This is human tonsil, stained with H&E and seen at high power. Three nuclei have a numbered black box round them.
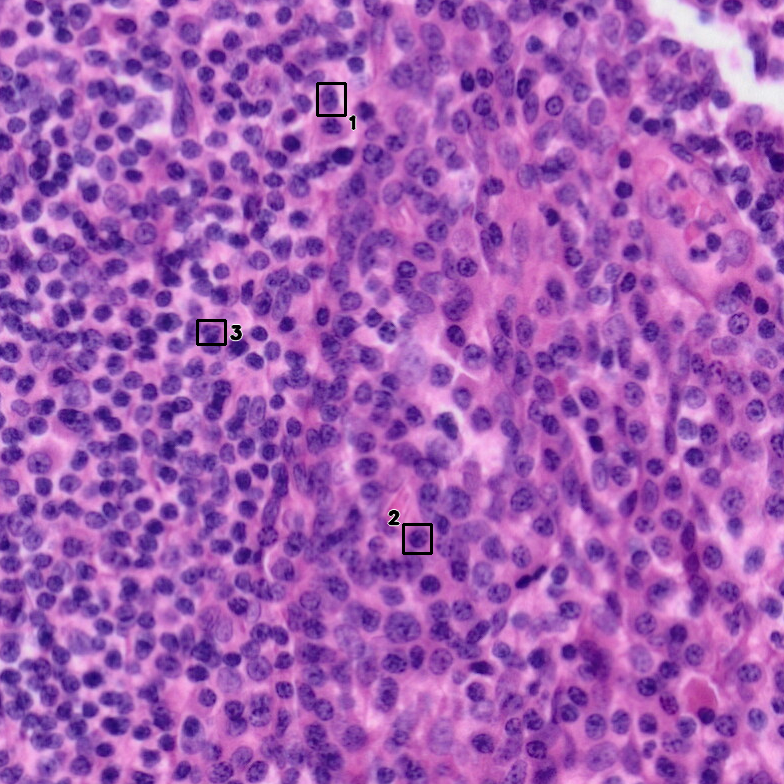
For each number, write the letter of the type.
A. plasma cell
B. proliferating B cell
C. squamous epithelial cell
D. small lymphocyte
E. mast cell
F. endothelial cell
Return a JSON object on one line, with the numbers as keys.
{"1": "A", "2": "A", "3": "D"}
